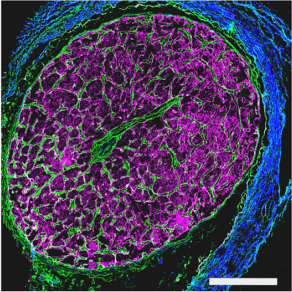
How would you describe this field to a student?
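A transverse section through the optic nerve: the round nerve is divided into many small polygonal nerve bundles by a meshwork of thin connective tissue septa, with a central vessel near the middle and a layered meningeal sheath around it. The green outlines the septa and the surrounding sheath, while the magenta fills the bundles.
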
